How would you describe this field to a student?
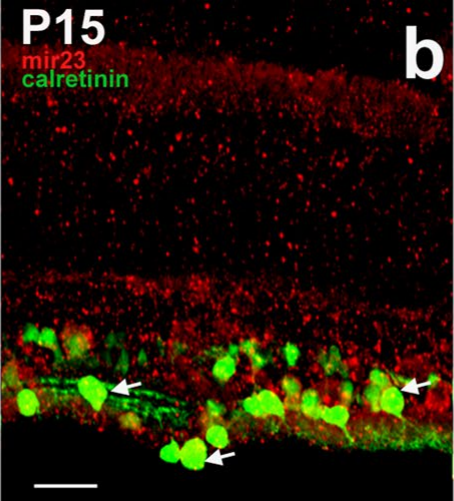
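The section of retina shows fine red granules spread across all layers, densest over the inner retina. Bright green, rounded cell bodies cluster at the inner edge of the inner nuclear layer and in the ganglion cell layer, with green processes running horizontally in bands through the inner plexiform layer between them. These green cell bodies are amacrine cells and presumed ganglion cells, some of which also carry red granules and appear double labelled.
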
